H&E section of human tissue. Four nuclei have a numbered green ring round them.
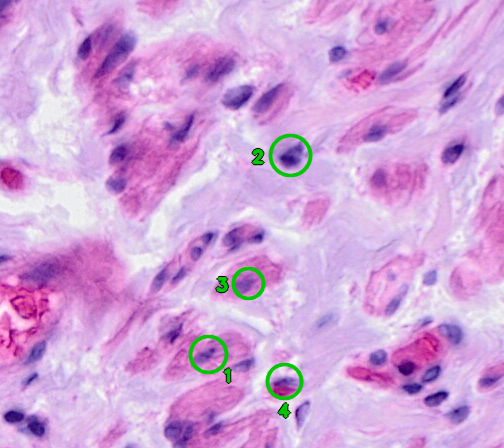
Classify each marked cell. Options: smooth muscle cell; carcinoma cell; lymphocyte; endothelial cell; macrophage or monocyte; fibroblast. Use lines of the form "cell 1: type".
cell 1: smooth muscle cell
cell 2: fibroblast
cell 3: smooth muscle cell
cell 4: endothelial cell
